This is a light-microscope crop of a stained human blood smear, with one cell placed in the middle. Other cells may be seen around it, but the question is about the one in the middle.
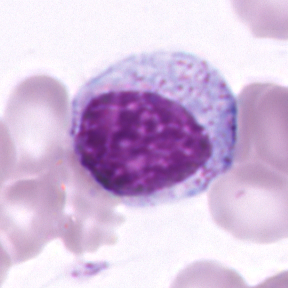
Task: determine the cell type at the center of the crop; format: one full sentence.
The cell at the central position in this crop is a metamyelocyte.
